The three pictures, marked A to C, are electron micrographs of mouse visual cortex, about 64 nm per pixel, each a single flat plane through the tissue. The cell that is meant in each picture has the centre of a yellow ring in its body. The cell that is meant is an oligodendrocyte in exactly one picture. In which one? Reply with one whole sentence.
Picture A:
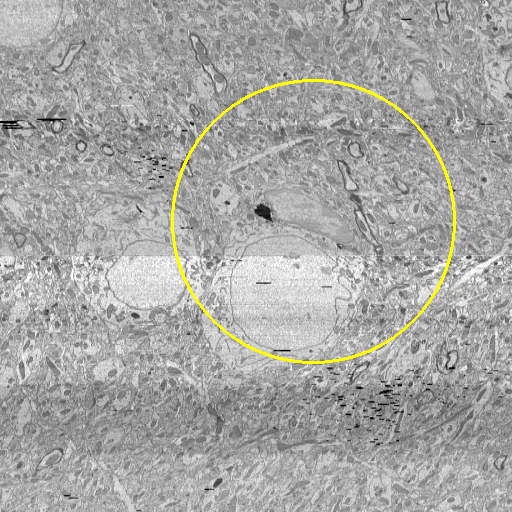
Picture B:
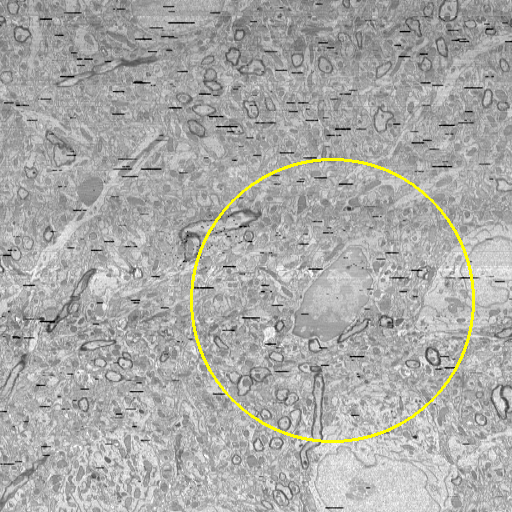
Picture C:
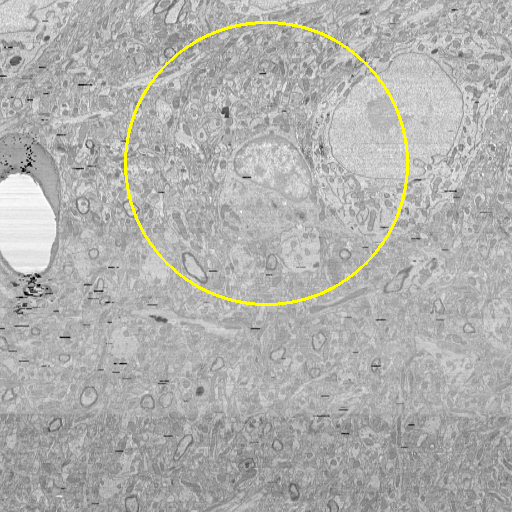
The picture with the oligodendrocyte is C.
